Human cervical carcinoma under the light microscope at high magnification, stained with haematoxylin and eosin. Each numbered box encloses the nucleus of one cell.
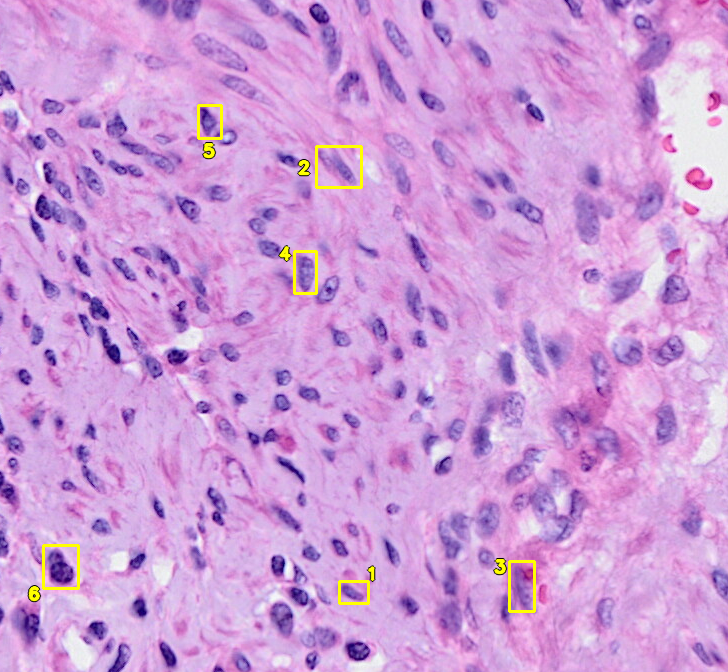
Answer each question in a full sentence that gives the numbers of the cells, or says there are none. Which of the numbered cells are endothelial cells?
There is just one numbered cell that is an endothelial cell, and it is cell 3.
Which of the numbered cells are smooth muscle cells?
When it comes to cells 1, 2, 4 and 5, they are smooth muscle cells.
